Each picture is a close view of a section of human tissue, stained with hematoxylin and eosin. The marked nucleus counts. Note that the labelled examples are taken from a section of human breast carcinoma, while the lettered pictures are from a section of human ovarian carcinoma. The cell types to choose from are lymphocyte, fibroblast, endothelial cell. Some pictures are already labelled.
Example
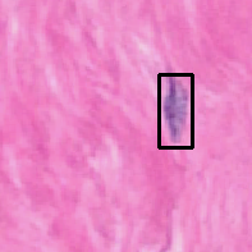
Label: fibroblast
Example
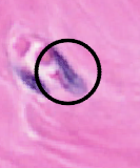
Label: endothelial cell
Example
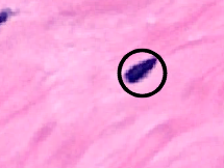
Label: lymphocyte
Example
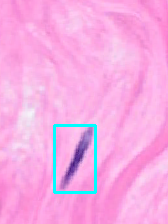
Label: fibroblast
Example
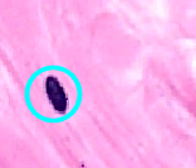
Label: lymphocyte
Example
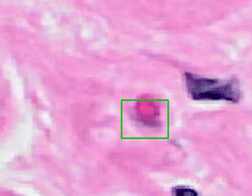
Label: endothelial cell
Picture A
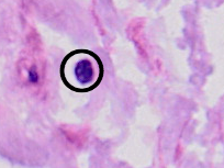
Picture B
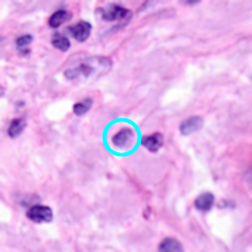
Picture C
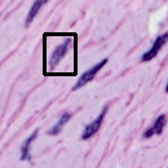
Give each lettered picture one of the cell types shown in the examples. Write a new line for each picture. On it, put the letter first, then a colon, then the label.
A: lymphocyte
B: lymphocyte
C: fibroblast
